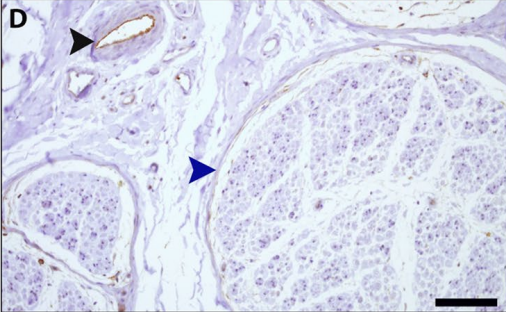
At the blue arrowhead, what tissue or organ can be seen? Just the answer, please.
perineurium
